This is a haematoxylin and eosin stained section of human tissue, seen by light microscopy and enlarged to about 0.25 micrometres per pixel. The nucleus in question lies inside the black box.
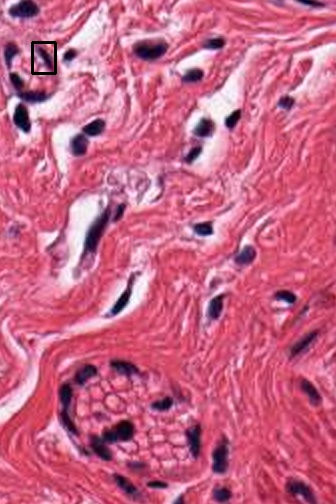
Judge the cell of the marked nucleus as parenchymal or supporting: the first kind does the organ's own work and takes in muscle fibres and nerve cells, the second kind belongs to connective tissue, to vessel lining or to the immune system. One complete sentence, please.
Belonging to a supporting cell is the nucleus that is marked.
